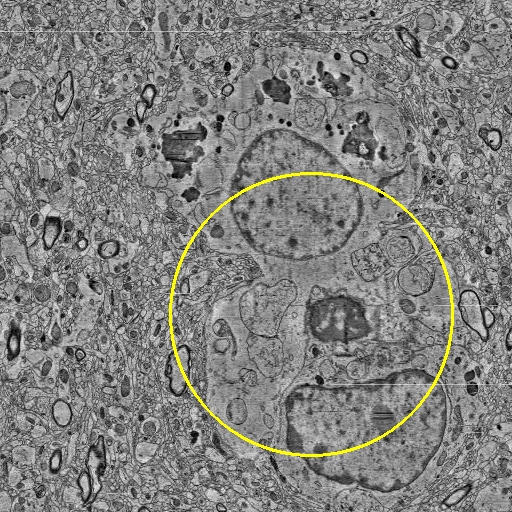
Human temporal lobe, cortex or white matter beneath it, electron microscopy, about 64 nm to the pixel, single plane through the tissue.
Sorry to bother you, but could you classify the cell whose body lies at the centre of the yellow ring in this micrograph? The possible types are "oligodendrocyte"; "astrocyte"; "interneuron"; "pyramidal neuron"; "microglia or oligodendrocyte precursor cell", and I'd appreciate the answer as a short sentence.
The ringed cell body is that of a microglial cell or oligodendrocyte precursor cell.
